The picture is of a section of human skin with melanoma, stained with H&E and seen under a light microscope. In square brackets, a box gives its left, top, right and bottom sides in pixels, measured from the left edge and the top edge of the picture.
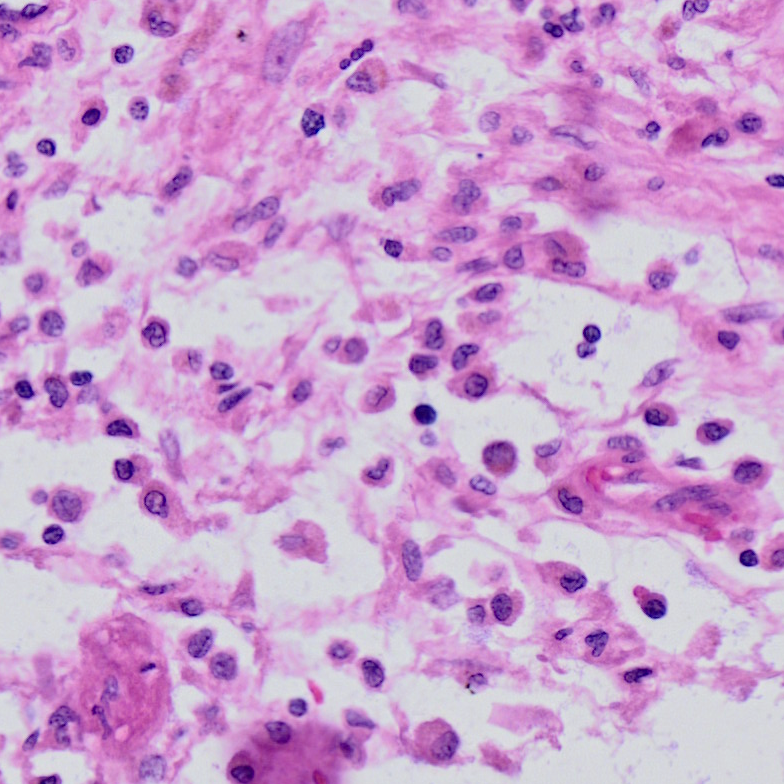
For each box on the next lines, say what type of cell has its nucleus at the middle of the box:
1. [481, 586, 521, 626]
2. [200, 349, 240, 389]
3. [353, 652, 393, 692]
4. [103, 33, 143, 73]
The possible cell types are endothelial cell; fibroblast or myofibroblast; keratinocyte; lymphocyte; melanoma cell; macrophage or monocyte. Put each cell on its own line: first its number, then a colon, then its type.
1: macrophage or monocyte
2: lymphocyte
3: macrophage or monocyte
4: lymphocyte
